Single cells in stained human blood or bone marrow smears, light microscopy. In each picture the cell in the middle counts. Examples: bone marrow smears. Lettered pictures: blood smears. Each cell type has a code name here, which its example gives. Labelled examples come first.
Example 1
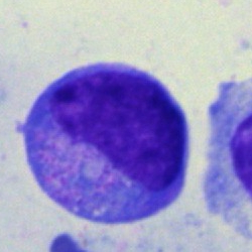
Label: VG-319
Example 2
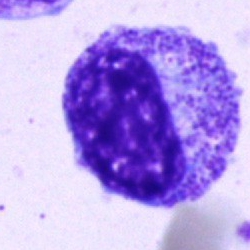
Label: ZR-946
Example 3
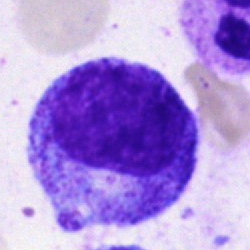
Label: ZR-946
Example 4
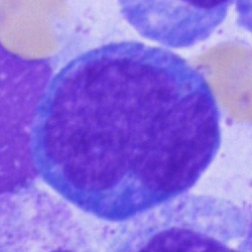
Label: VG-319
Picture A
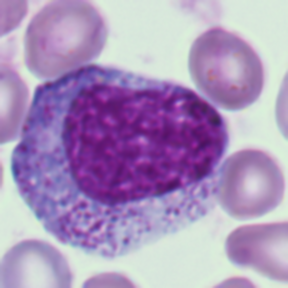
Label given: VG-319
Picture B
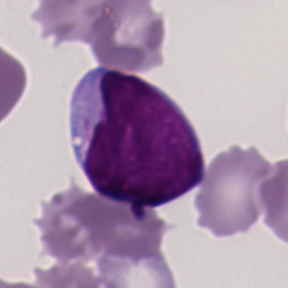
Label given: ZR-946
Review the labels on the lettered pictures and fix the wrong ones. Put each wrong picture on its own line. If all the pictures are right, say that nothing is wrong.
A is labelled VG-319; correct label: ZR-946
B is labelled ZR-946; correct label: VG-319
